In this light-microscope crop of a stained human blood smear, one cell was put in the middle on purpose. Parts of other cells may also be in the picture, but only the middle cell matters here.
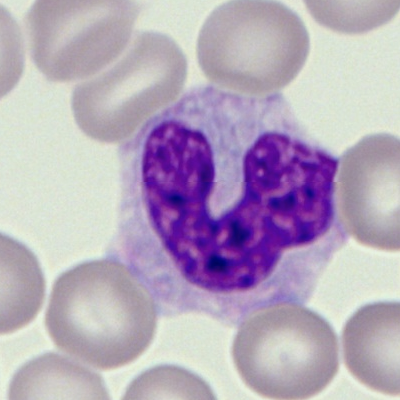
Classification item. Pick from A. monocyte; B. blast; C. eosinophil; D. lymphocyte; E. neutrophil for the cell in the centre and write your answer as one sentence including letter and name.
The central cell is a monocyte, which makes option A the right answer.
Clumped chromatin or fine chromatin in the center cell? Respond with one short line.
This nucleus has coarsely clumped chromatin.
